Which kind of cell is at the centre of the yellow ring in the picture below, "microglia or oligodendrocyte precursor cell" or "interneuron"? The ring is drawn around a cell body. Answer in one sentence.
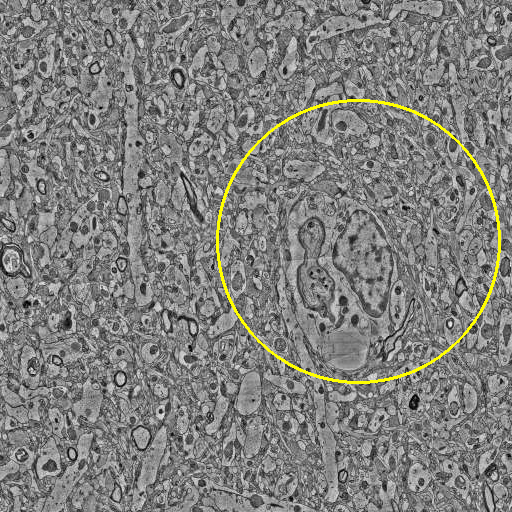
The ring's central cell is a microglial cell or oligodendrocyte precursor cell.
